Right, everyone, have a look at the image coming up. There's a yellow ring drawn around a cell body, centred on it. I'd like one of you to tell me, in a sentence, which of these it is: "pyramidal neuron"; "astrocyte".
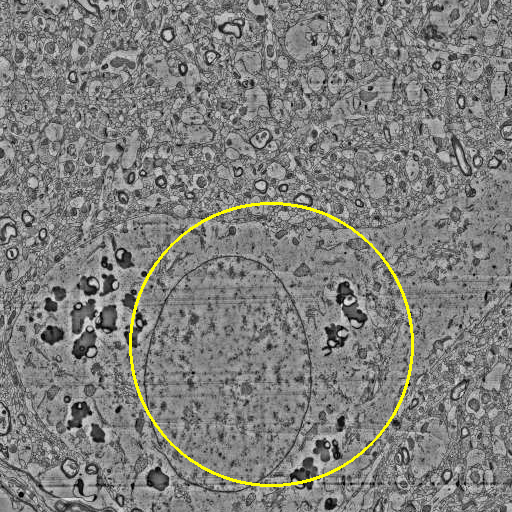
The yellow ring sits on a pyramidal neuron.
